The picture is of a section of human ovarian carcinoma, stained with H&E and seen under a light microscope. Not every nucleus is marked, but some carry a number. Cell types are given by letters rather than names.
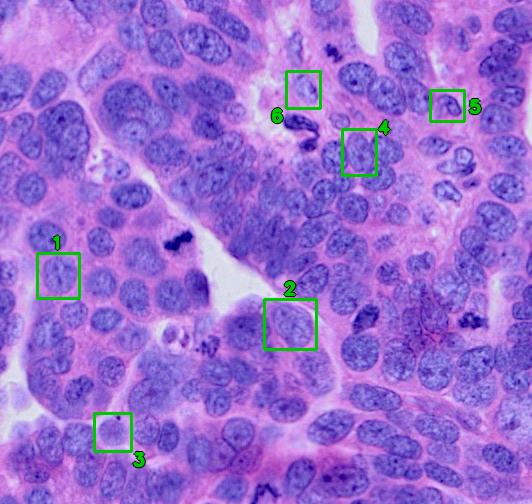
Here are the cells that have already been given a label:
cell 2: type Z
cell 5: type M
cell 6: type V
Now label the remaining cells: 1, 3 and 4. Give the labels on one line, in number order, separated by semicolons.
type Z; type Z; type Z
